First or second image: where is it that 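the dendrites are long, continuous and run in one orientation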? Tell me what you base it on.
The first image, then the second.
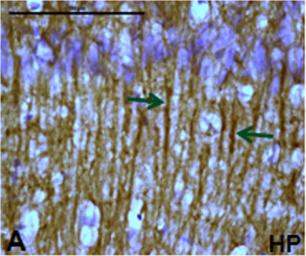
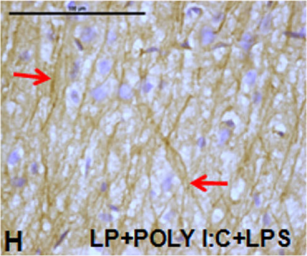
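The first image. First image: dense dark brown fibres run long and parallel across the field.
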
